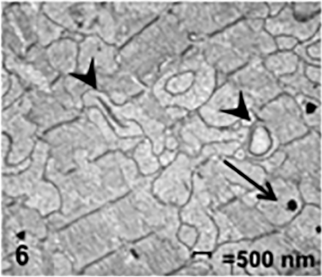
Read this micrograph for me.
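Heart muscle cell in which the sarcomeres are still visible but the mitochondria between them look pale, with a washed-out matrix and only scattered, collapsed inner membrane folds. Some mitochondria are rounded and ringed by their membranes, and one contains a small very dark inclusion. These are abnormal cardiac mitochondria with lost matrix density, collapsed cristae and an electron-dense inclusion.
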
